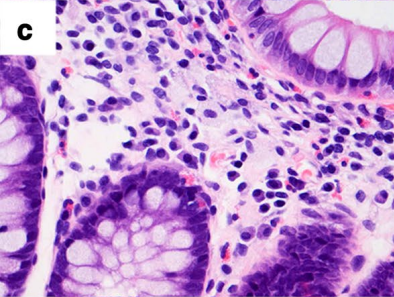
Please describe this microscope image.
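Crypts of colonic mucosa lined by regular columnar cells rich in pale, empty-looking goblet cells sit in a cellular lamina propria. The epithelial nuclei are small, basal and in a single row, unlike the crowded layers of a tumour. The lamina propria between the crypts holds many small round dark nuclei and cells with eccentric nuclei, with scattered cells showing pink-red cytoplasm. This is non-cancer colonic mucosa with a mixed inflammatory cell population in its lamina propria, including some eosinophils.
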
